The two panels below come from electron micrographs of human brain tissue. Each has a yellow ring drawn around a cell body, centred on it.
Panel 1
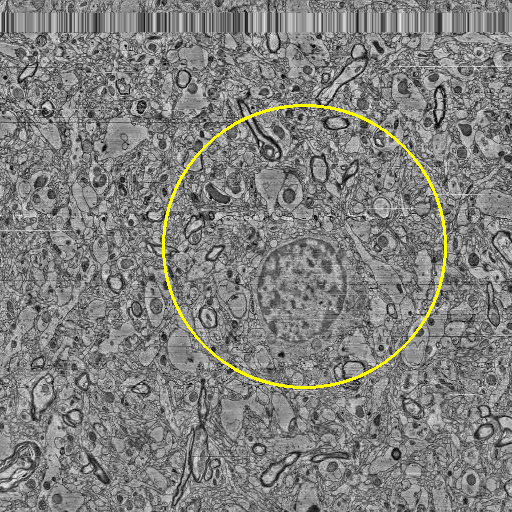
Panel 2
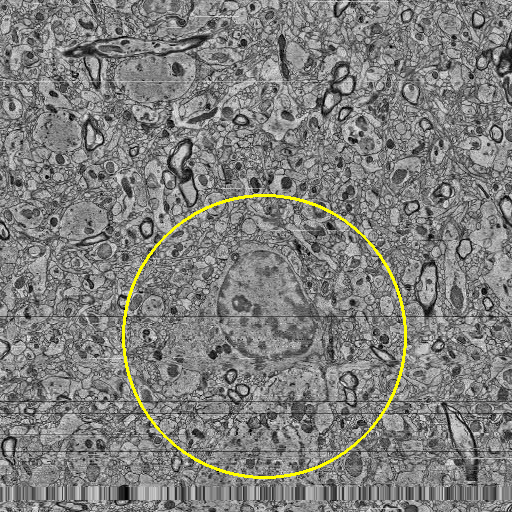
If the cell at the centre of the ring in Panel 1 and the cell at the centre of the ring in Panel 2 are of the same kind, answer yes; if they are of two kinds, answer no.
yes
